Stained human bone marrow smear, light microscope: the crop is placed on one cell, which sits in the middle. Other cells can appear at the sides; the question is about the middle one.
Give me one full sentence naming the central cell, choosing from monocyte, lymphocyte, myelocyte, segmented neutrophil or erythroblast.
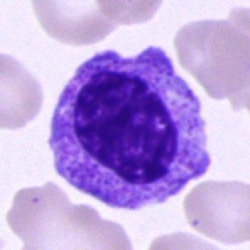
By type, the central cell of the crop is a myelocyte.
